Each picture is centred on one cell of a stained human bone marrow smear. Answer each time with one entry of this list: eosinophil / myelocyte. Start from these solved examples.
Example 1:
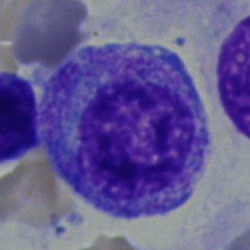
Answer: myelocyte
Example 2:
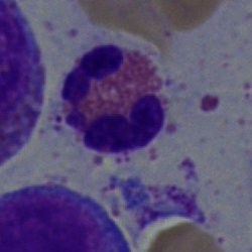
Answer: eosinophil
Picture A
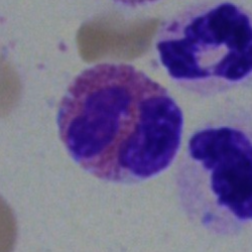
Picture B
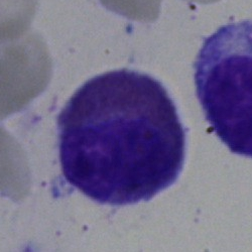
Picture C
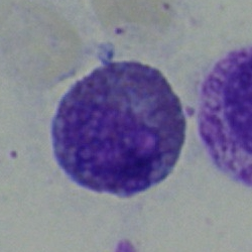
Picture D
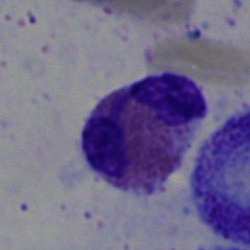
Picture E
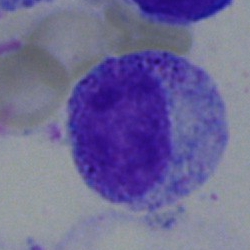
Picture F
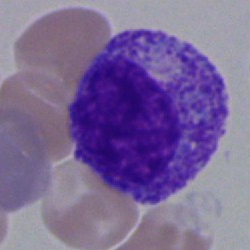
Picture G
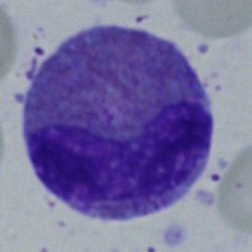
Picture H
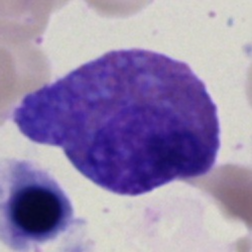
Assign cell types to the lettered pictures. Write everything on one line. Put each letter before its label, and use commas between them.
A eosinophil, B eosinophil, C eosinophil, D eosinophil, E myelocyte, F myelocyte, G eosinophil, H eosinophil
